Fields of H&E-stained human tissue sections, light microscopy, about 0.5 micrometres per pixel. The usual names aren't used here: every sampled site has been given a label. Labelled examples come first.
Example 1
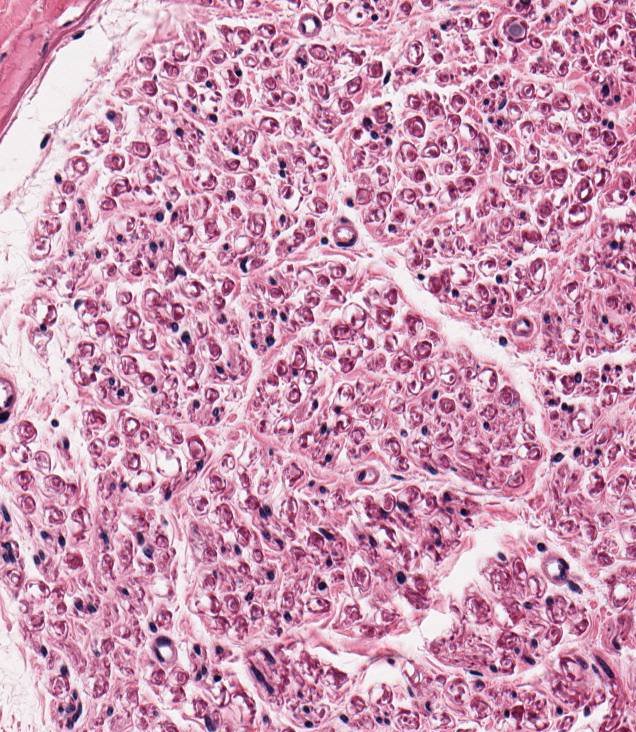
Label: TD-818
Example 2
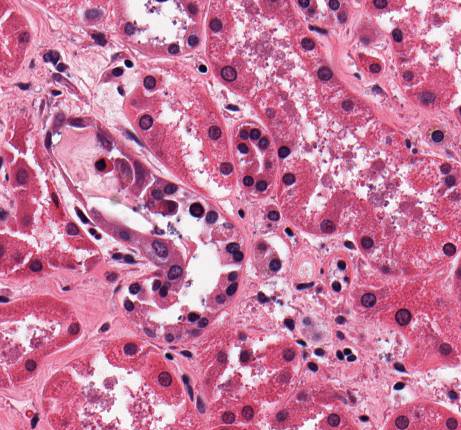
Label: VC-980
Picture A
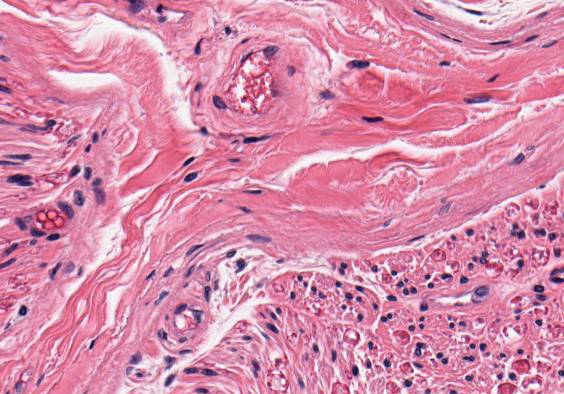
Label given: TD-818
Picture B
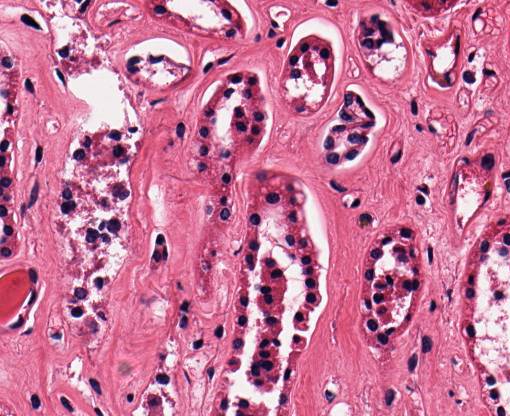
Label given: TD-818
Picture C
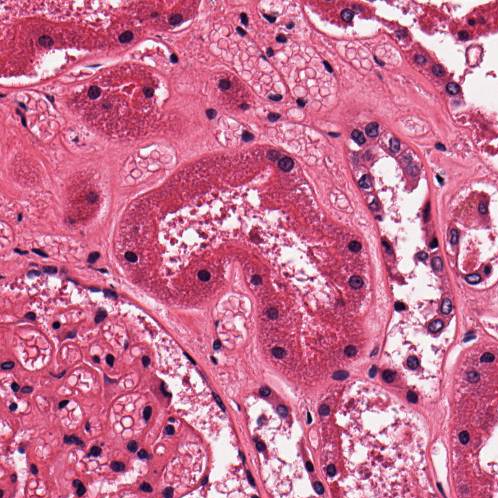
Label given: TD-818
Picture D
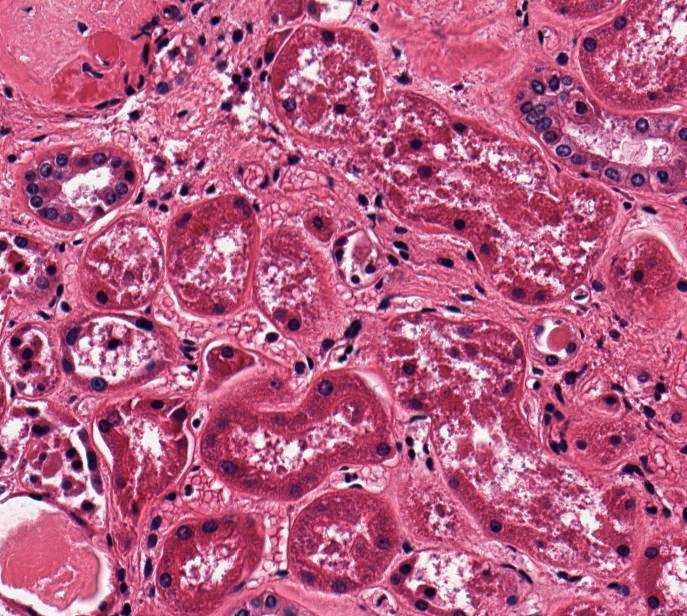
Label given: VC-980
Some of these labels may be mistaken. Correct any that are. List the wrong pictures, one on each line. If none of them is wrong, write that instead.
B: change TD-818 to VC-980
C: change TD-818 to VC-980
